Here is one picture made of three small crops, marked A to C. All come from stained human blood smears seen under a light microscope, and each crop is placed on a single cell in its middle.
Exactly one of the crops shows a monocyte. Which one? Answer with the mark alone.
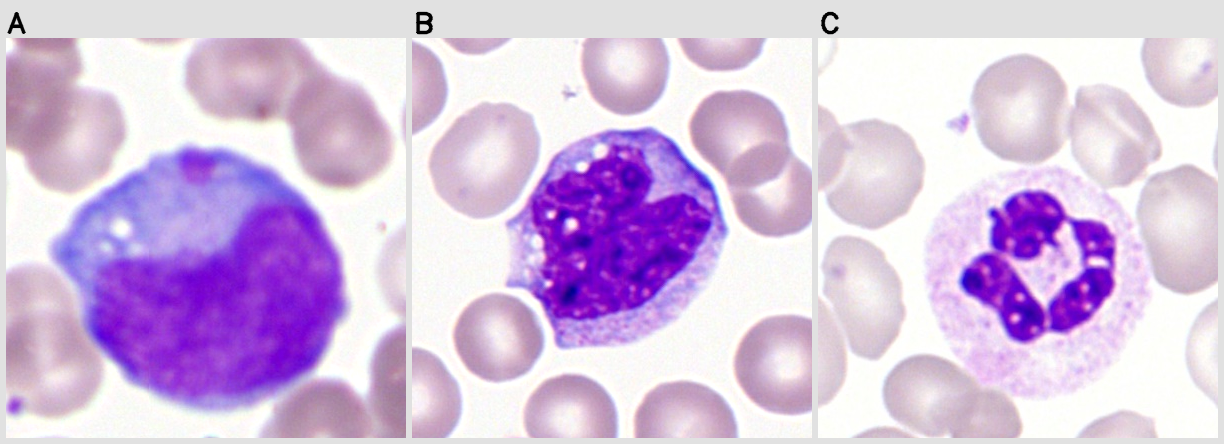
B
